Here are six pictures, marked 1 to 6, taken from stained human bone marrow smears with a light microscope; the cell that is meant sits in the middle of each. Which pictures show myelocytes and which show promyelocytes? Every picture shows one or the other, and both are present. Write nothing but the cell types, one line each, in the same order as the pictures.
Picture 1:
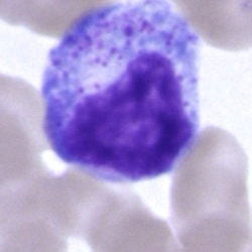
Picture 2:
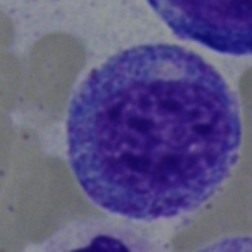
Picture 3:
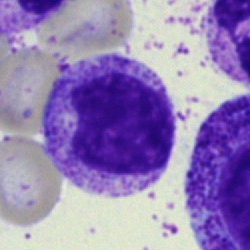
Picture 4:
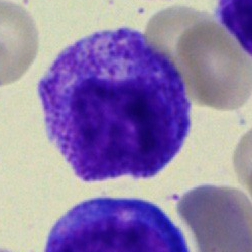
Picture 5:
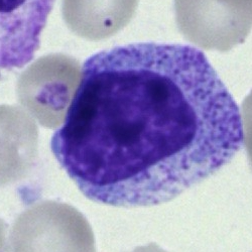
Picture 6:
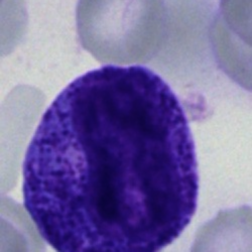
promyelocyte
promyelocyte
myelocyte
myelocyte
myelocyte
myelocyte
